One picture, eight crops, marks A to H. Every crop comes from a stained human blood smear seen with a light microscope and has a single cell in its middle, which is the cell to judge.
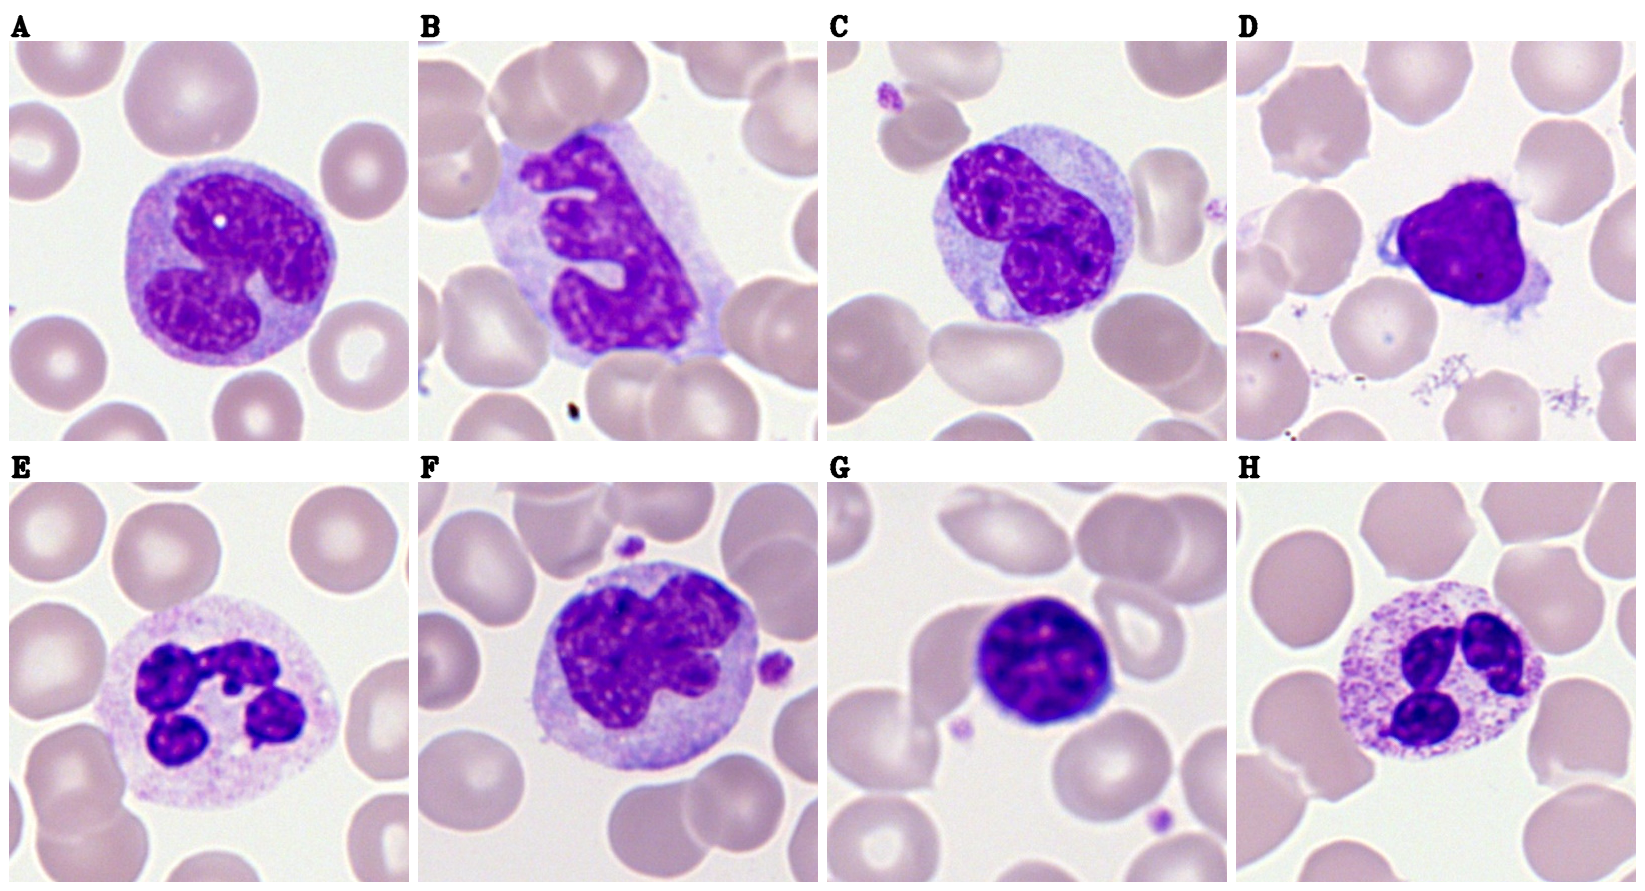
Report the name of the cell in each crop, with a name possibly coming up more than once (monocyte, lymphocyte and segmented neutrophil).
A: monocyte
B: monocyte
C: monocyte
D: lymphocyte
E: segmented neutrophil
F: monocyte
G: lymphocyte
H: segmented neutrophil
